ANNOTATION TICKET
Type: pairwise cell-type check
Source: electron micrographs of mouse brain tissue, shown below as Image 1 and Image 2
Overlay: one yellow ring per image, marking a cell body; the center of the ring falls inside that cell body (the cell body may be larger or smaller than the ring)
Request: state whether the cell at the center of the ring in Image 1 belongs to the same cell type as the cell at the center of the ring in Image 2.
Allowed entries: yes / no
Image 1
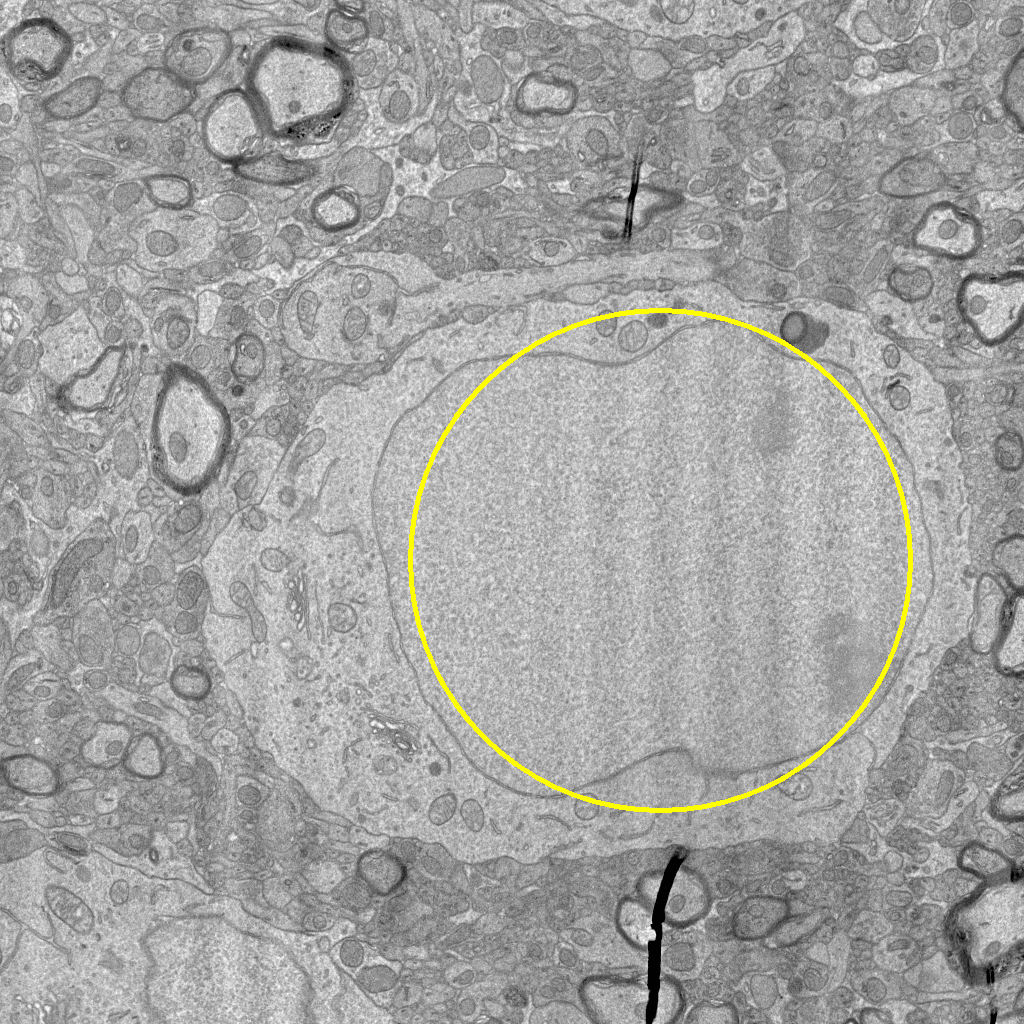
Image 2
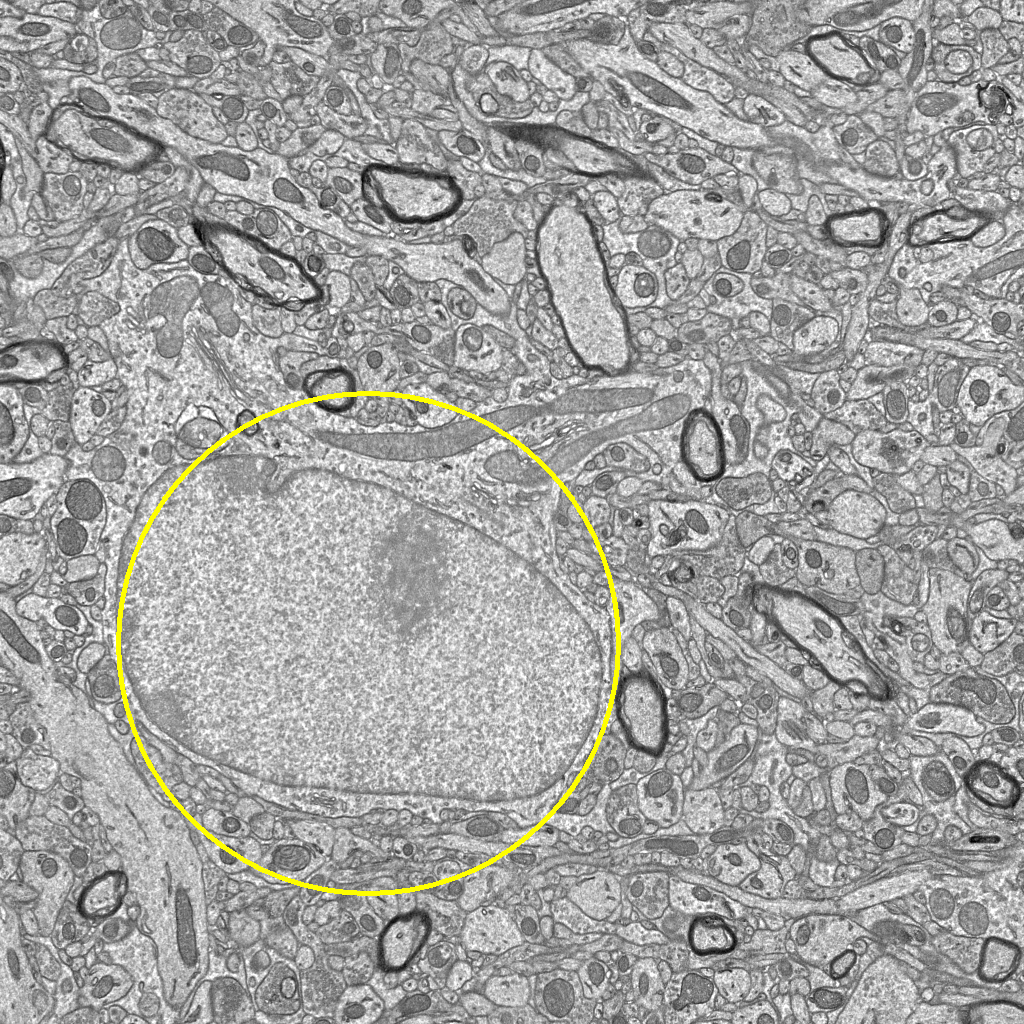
no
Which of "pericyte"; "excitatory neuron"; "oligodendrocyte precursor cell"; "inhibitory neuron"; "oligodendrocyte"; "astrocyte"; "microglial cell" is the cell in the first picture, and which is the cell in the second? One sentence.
The ring of the first picture is on an excitatory neuron, the ring of the second on an astrocyte.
